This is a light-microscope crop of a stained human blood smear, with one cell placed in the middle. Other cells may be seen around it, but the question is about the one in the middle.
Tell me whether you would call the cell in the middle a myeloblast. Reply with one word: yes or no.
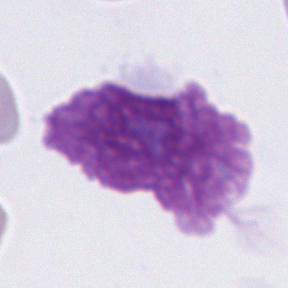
no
